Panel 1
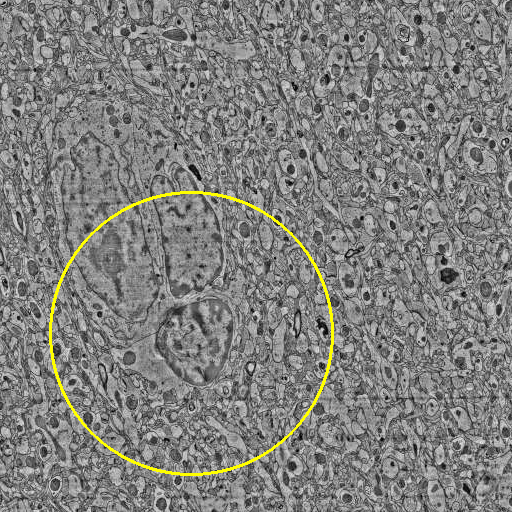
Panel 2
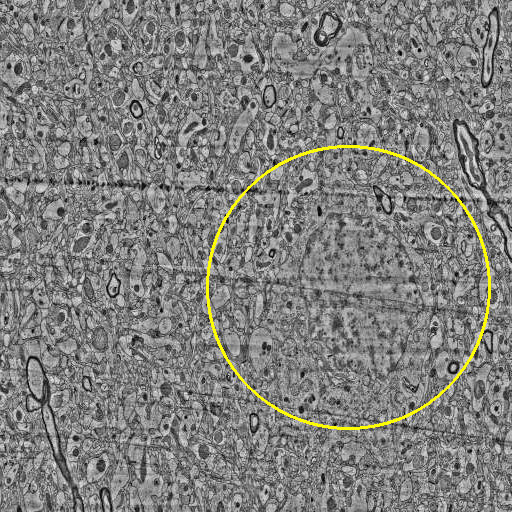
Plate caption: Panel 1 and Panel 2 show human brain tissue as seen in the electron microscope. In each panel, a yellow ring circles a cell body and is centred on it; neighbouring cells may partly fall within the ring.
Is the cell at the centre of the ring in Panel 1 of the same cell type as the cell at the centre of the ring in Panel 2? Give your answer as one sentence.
No, the two cells are of two types.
